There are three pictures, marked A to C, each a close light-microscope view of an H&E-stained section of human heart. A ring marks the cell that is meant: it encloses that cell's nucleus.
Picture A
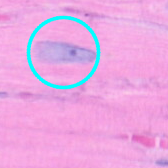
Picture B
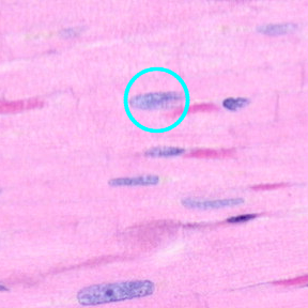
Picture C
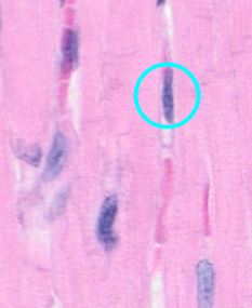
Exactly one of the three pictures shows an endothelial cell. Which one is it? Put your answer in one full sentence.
The picture with the endothelial cell is C.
